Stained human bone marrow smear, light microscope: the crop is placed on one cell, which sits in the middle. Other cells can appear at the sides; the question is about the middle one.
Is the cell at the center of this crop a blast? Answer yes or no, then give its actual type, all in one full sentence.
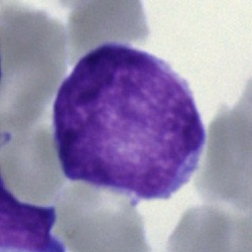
Yes, the cell here in the middle is a blast.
